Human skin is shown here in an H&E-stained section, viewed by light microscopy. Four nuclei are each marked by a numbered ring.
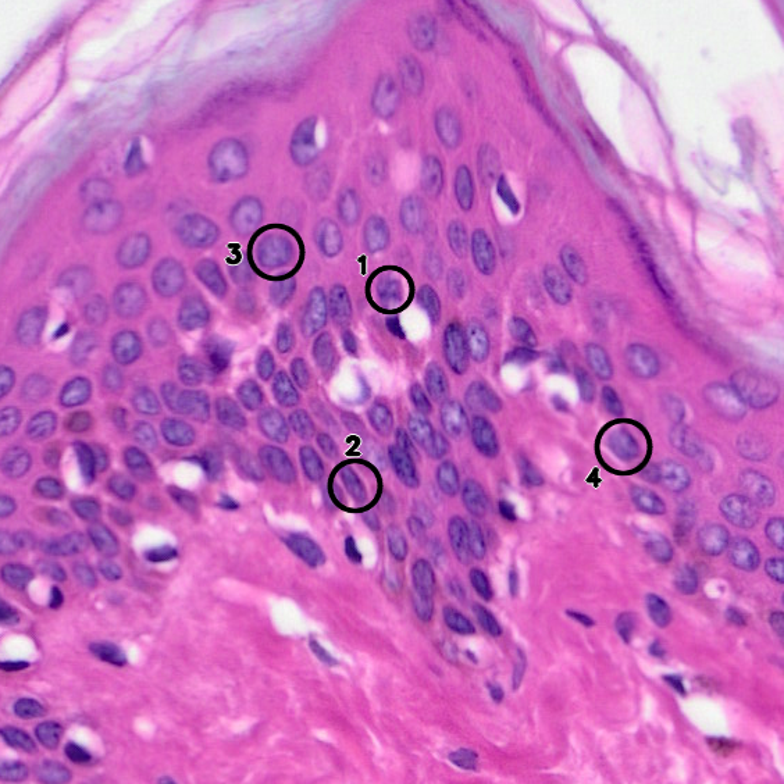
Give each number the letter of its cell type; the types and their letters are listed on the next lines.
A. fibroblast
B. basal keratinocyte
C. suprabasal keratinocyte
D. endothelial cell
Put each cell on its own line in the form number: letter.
1: B
2: B
3: C
4: B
